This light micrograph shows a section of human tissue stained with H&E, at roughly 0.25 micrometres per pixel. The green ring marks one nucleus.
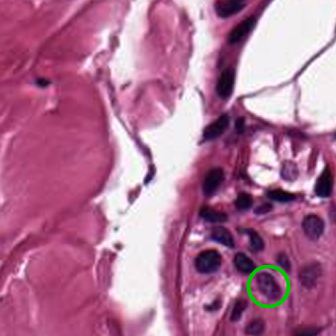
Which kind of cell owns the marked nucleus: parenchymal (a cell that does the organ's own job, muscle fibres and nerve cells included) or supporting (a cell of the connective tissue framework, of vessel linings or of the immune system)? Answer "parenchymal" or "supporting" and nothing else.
parenchymal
